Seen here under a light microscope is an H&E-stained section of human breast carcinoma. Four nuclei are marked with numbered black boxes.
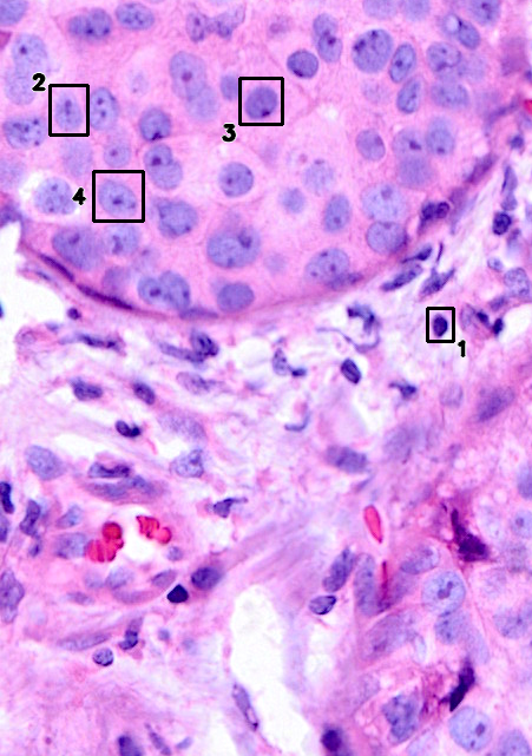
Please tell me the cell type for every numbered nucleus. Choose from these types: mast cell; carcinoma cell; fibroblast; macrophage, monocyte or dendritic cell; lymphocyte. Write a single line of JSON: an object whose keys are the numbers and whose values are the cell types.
{"1": "lymphocyte", "2": "carcinoma cell", "3": "carcinoma cell", "4": "carcinoma cell"}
